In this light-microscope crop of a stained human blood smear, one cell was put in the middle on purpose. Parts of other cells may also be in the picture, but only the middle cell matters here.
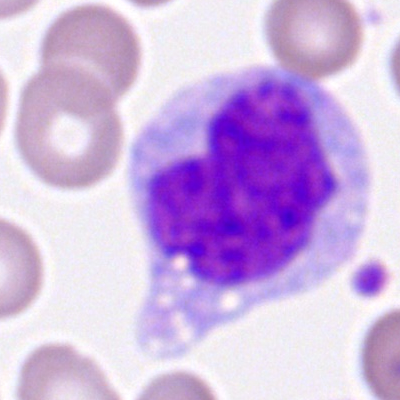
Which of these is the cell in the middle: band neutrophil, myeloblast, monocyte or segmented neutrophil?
monocyte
